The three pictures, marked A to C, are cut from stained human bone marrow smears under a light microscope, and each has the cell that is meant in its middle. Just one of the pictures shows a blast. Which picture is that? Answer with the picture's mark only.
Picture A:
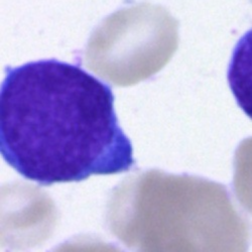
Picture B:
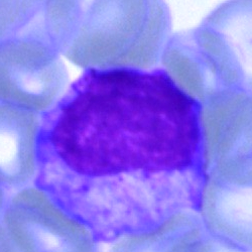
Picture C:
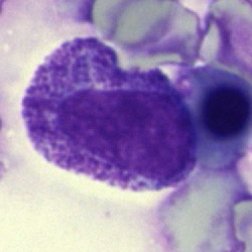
A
